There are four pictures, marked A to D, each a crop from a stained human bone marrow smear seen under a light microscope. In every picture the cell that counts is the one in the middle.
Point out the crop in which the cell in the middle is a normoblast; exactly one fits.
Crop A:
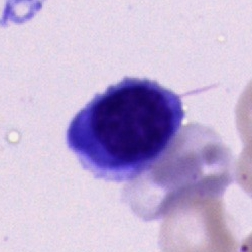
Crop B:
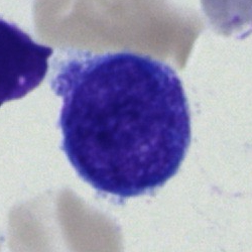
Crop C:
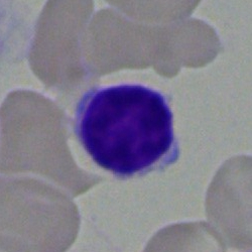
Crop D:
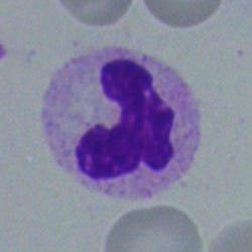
A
